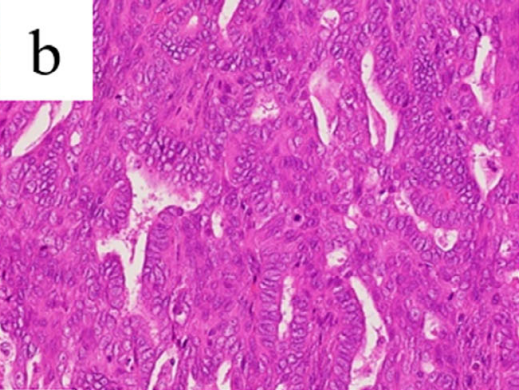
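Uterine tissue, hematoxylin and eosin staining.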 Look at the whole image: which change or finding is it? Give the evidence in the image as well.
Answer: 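Crowded atypical epithelial cells line irregular, slit-like gland lumens. Glands lie back to back with little intervening stroma. That points to this answer: adenocarcinoma.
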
